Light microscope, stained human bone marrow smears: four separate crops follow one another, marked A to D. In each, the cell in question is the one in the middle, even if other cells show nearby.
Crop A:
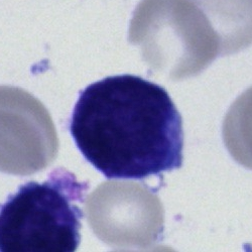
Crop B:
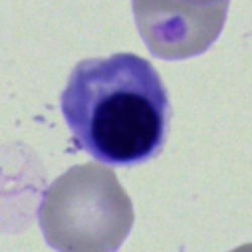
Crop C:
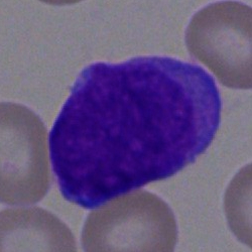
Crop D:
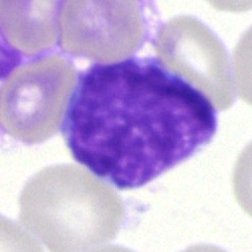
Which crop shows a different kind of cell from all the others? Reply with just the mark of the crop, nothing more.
B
